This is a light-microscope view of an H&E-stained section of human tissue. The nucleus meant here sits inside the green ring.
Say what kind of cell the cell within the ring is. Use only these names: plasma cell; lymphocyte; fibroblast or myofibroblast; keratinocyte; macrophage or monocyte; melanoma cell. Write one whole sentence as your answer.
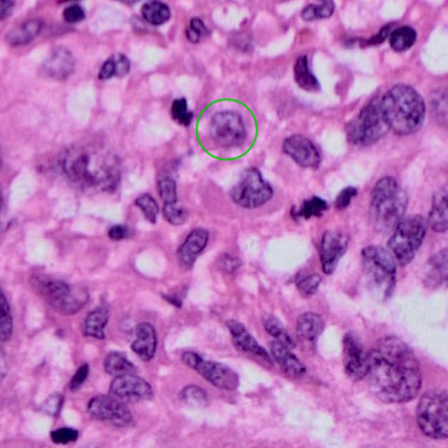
Just put down that the cell within the ring is a melanoma cell.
